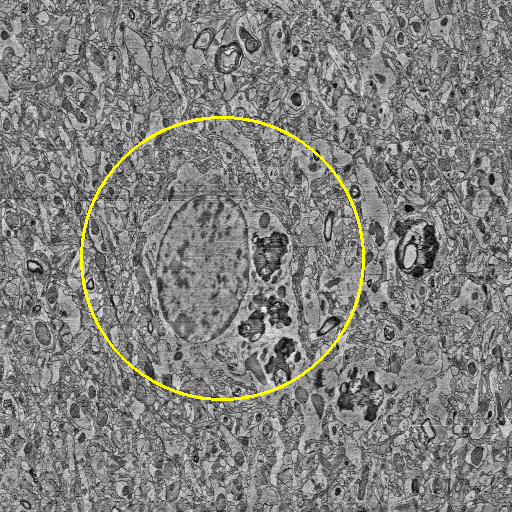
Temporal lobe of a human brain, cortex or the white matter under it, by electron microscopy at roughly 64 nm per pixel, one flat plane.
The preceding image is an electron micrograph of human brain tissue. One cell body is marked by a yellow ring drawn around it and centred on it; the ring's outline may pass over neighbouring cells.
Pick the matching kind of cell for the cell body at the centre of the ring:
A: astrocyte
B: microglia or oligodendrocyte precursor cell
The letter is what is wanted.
A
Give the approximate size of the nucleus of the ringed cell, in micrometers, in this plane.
In this plane the nucleus is clearly longer than it is wide, at approximately 10 by 6 micrometres.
